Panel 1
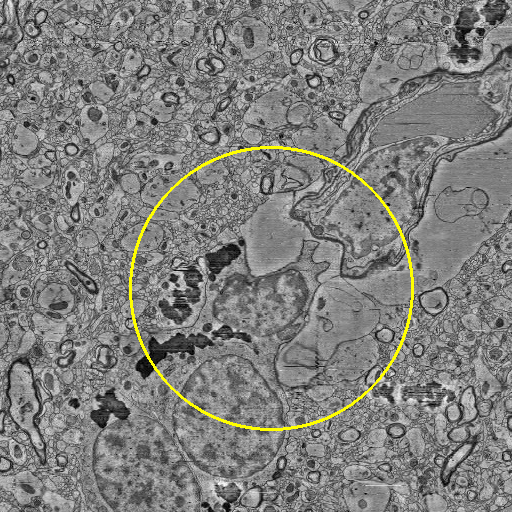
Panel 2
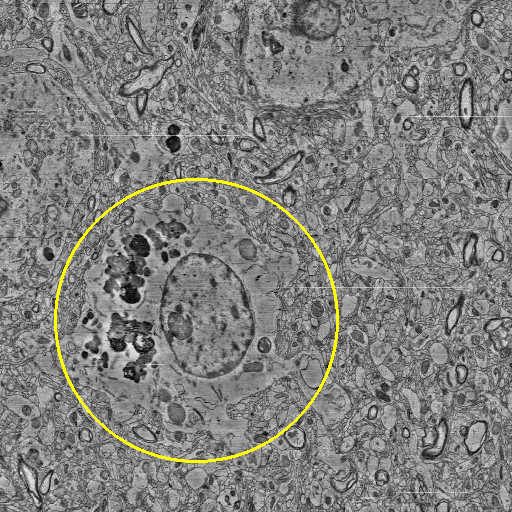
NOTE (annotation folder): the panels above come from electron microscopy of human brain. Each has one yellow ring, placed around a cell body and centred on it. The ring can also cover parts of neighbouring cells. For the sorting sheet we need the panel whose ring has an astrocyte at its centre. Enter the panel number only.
2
